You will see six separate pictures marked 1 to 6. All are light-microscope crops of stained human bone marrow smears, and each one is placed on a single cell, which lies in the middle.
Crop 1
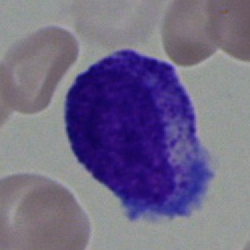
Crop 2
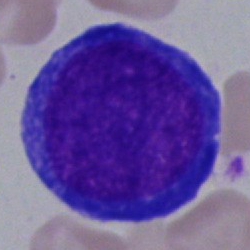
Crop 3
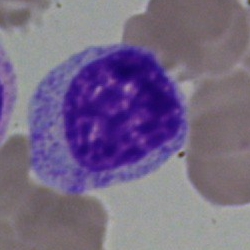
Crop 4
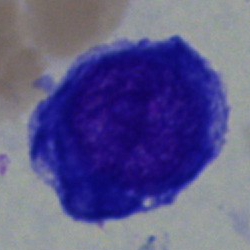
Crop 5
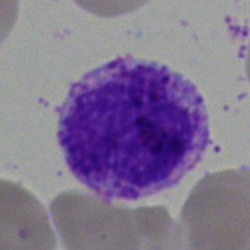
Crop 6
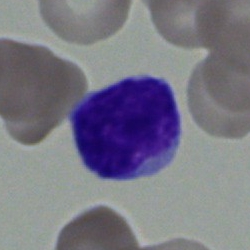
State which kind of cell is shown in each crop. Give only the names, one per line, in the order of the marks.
promyelocyte
proerythroblast
myelocyte
proerythroblast
basophil
lymphocyte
